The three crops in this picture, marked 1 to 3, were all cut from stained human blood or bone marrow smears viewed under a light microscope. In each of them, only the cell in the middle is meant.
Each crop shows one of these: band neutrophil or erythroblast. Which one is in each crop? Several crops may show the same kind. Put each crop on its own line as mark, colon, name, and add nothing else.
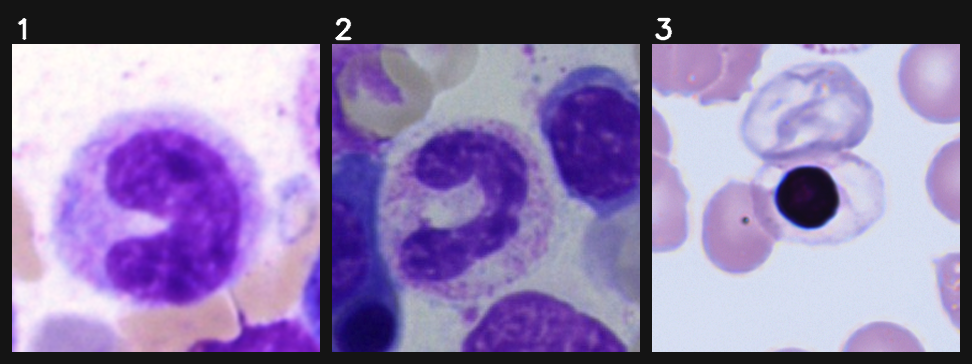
1: band neutrophil
2: band neutrophil
3: erythroblast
